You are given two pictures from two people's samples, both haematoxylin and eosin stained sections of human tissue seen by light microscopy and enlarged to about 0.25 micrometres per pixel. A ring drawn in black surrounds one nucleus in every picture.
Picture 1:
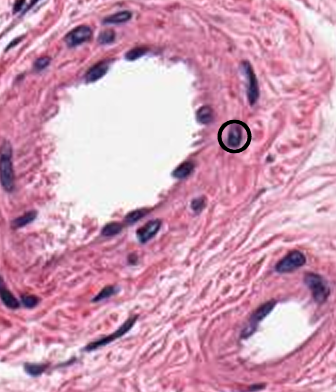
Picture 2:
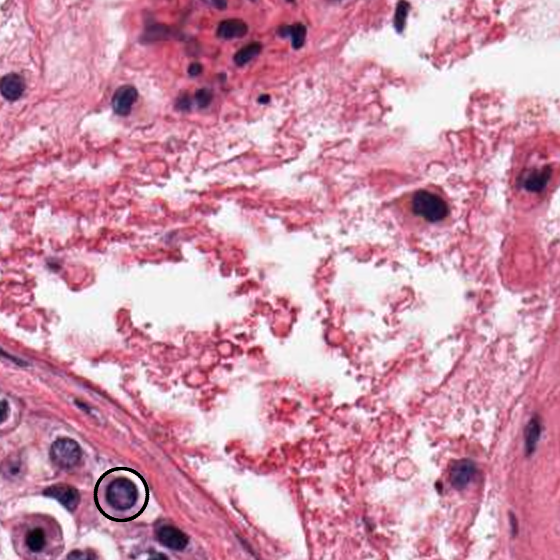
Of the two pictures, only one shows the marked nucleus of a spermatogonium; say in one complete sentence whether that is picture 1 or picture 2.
In picture 2, the marked nucleus is part of a spermatogonium, which is not so in the other picture.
